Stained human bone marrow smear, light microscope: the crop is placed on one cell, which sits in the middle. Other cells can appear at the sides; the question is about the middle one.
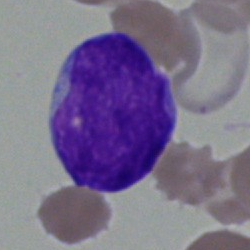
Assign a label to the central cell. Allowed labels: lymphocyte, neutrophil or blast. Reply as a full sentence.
The crop centres on a single cell, and that cell is a blast.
